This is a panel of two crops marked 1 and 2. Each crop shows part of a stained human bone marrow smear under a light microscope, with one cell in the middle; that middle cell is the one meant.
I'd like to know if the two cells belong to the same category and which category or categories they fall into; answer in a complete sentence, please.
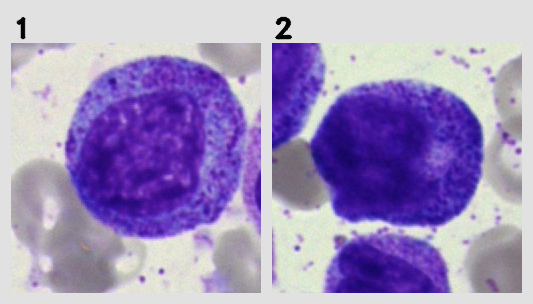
Yes, the two crops share the same answer, promyelocytes.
